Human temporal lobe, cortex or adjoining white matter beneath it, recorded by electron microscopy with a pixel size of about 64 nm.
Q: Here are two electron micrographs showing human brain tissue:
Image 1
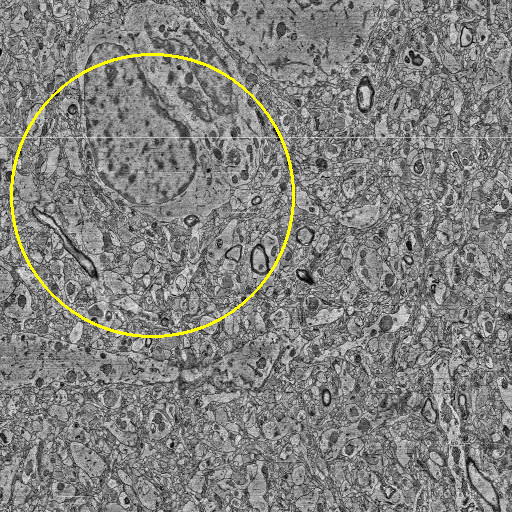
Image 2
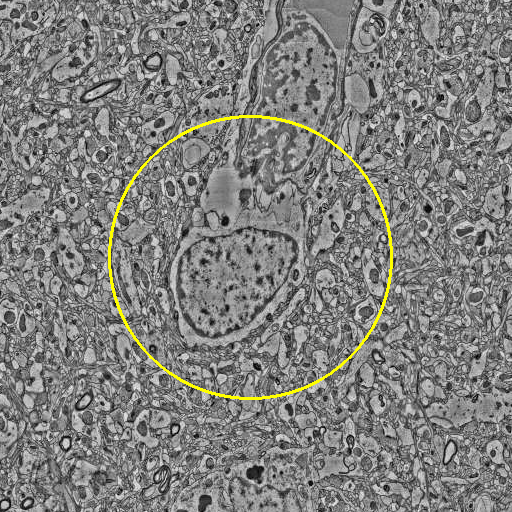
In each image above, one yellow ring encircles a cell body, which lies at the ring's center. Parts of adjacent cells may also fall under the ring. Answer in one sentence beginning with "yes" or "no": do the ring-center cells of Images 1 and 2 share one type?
Yes, in Images 1 and 2, the ring-center cells are both of one type.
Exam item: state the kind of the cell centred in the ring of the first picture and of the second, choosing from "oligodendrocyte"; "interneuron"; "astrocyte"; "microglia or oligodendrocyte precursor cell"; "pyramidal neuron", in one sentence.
Each of the ringed cells, first and second, is a microglial cell or oligodendrocyte precursor cell.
